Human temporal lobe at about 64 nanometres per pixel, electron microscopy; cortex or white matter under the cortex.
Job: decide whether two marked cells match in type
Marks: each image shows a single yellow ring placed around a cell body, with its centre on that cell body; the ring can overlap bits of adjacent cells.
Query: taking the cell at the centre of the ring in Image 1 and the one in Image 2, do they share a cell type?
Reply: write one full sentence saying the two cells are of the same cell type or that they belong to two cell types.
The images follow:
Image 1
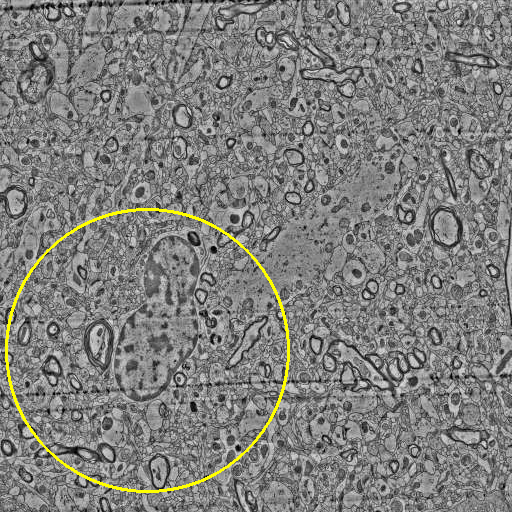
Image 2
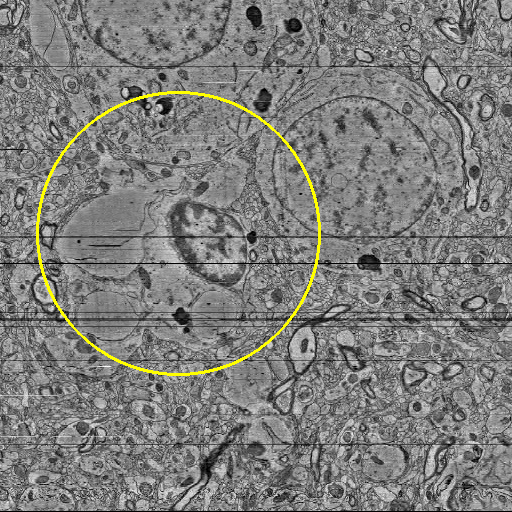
The cells at the ring centres in Image 1 and Image 2 are of the same cell type.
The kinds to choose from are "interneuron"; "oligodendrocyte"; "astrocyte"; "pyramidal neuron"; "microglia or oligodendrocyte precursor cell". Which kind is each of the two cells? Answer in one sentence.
In both pictures the ring is centred on a microglial cell or oligodendrocyte precursor cell.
